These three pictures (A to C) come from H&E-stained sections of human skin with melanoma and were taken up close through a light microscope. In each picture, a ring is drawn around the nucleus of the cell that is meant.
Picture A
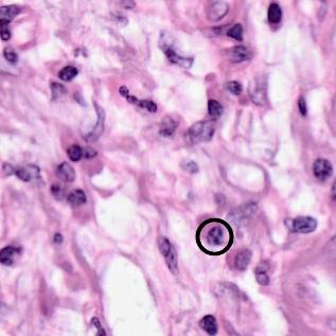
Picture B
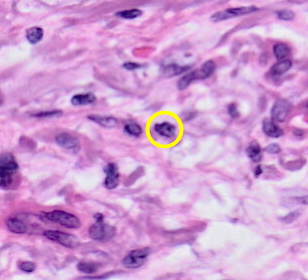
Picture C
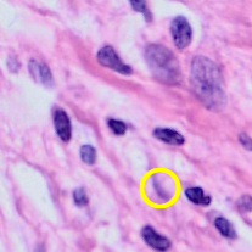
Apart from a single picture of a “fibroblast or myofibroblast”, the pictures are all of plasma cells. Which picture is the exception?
C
